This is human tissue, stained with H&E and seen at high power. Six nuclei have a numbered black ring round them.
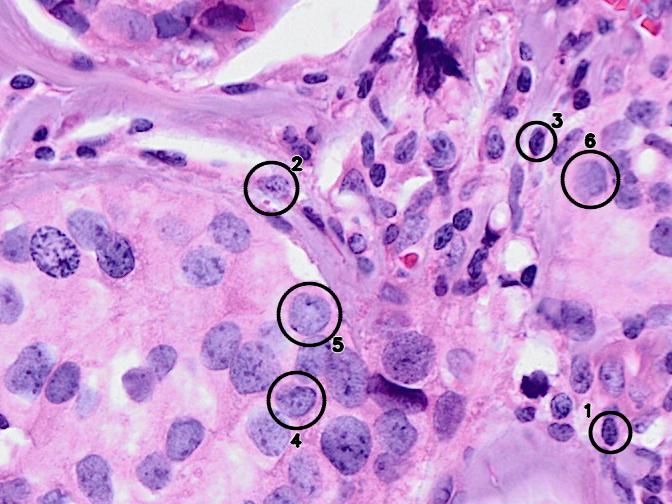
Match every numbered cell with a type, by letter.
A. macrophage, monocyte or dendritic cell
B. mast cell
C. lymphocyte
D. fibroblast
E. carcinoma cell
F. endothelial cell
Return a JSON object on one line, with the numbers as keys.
{"1": "C", "2": "D", "3": "C", "4": "E", "5": "E", "6": "E"}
